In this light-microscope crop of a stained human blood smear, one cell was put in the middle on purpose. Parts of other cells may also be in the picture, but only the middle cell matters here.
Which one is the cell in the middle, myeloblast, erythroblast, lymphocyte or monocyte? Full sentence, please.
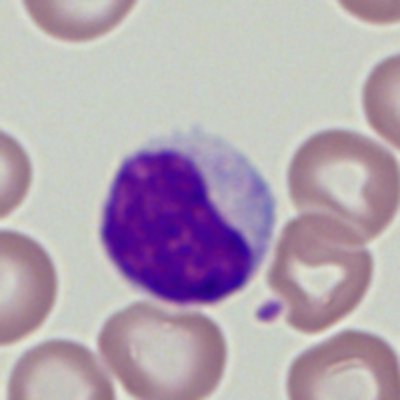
Regarding the central cell, it is a lymphocyte.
